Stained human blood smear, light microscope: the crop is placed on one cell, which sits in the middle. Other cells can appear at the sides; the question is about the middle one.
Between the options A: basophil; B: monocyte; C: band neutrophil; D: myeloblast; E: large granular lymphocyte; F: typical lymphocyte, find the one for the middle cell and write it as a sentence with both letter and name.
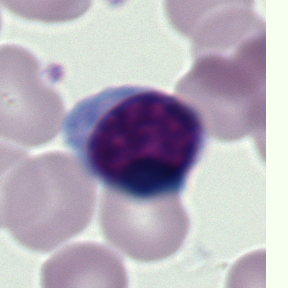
Answer key: option F, the middle cell being a typical lymphocyte.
